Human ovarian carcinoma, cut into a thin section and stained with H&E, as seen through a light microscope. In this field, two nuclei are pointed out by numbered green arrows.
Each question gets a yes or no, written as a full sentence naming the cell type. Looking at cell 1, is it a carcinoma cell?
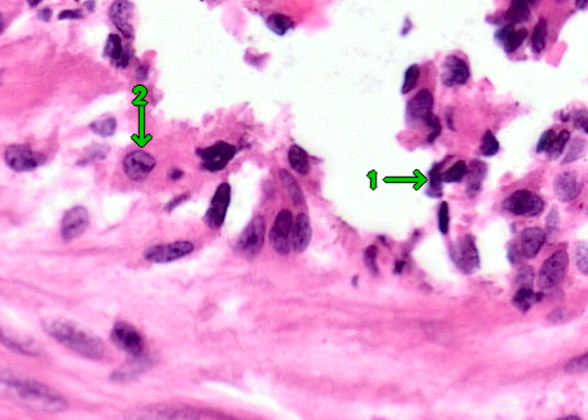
Yes, in this section the cell numbered 1 is a carcinoma cell.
